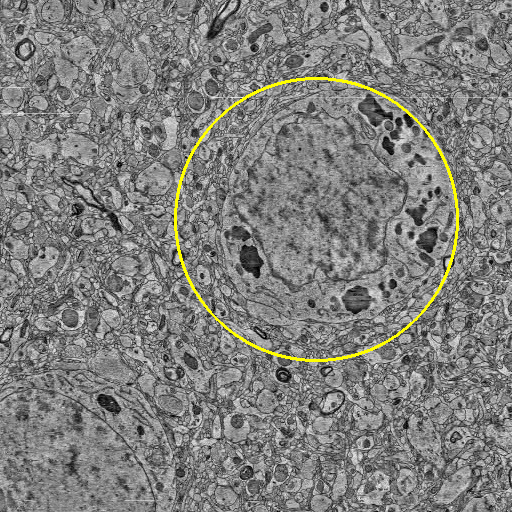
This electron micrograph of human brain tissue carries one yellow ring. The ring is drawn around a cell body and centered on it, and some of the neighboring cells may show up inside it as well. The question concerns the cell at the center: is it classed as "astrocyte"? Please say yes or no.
No, it is classed as another kind.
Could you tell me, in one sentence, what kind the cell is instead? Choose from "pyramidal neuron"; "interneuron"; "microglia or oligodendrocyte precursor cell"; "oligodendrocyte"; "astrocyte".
Instead, the cell at the centre of the yellow ring is an interneuron.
